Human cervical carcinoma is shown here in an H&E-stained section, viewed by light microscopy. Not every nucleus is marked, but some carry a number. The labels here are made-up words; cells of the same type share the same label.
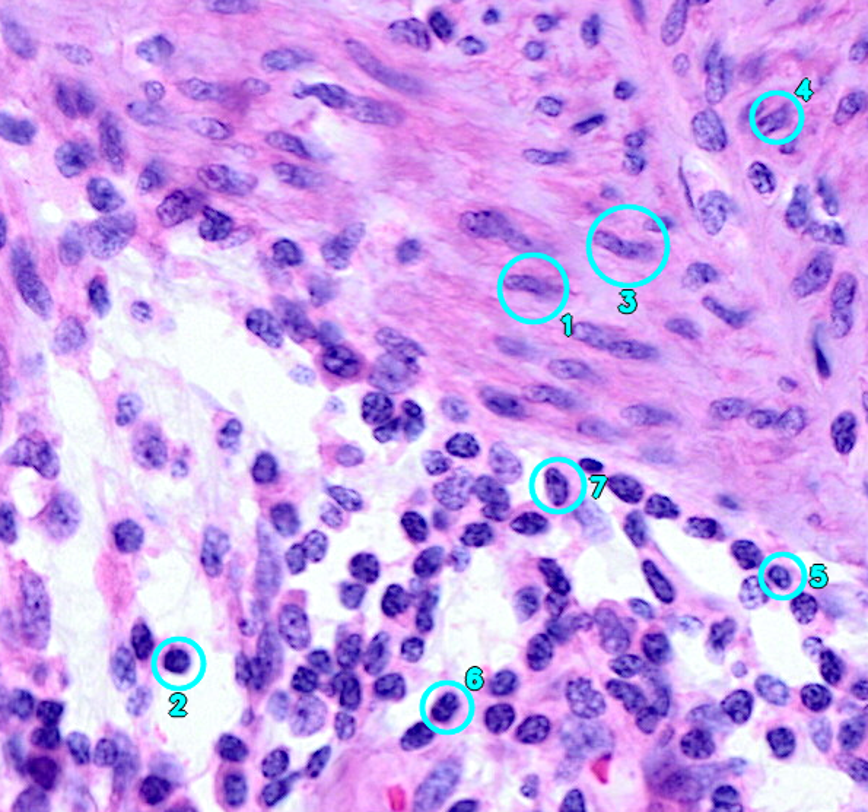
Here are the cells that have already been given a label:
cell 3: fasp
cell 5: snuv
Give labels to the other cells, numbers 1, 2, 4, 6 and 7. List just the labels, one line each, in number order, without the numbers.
fasp
snuv
fasp
snuv
snuv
